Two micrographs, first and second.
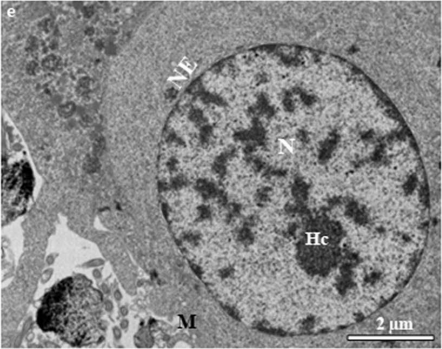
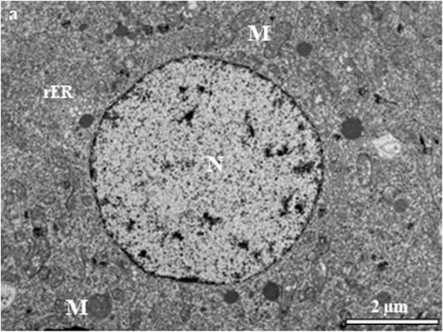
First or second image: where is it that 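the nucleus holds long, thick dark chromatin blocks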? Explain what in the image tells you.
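Second image: the nucleus is mostly pale with only small scattered dark specks.
The first image.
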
